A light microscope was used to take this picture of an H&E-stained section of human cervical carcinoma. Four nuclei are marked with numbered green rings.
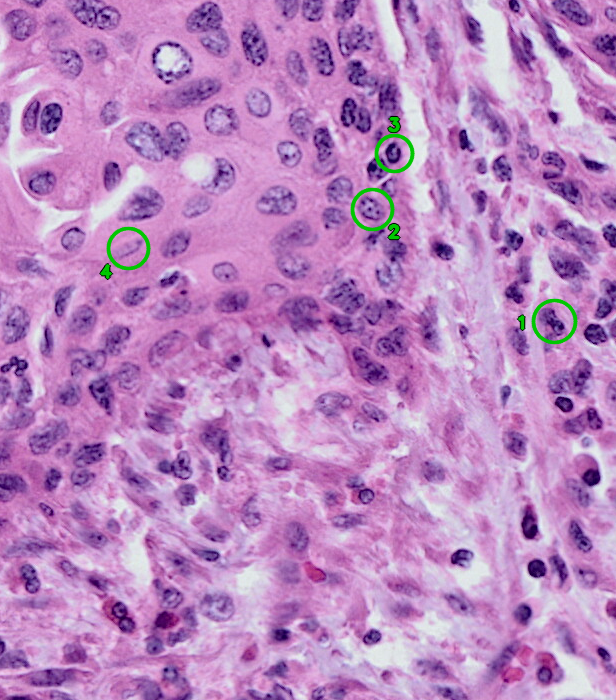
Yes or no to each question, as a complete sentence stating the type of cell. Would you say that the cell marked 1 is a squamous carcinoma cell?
No, the cell referred to as 1 is a lymphocyte, not a squamous carcinoma cell.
